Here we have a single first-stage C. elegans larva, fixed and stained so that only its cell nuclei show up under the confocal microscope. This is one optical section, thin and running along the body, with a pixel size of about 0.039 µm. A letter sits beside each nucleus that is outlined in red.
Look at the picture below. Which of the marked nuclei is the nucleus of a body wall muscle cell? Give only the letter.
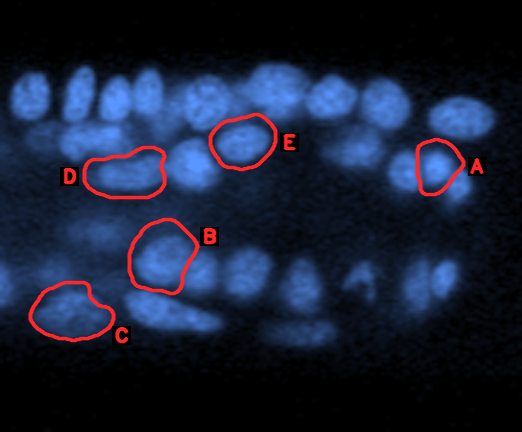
C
